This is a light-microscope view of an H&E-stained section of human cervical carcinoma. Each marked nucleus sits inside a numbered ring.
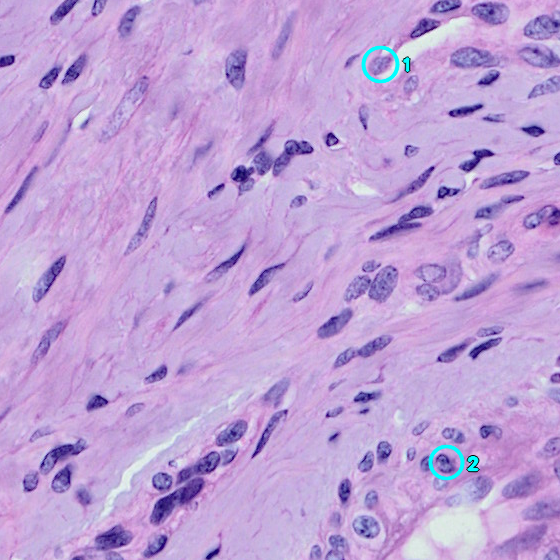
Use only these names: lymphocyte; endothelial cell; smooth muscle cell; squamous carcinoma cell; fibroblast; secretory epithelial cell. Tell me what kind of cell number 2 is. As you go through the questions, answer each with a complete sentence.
In this section, number 2 marks a smooth muscle cell.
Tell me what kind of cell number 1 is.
Belonging to an endothelial cell is the nucleus that carries the number 1.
